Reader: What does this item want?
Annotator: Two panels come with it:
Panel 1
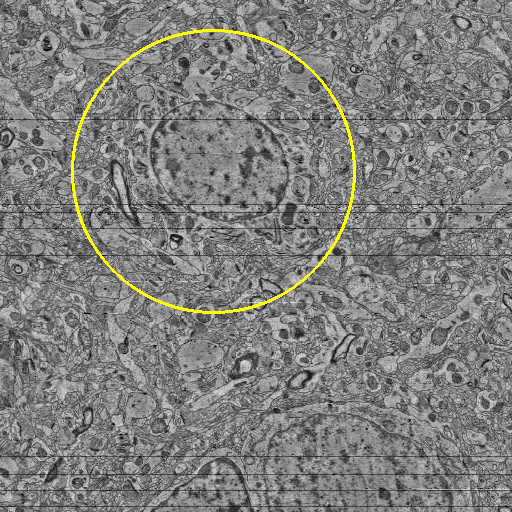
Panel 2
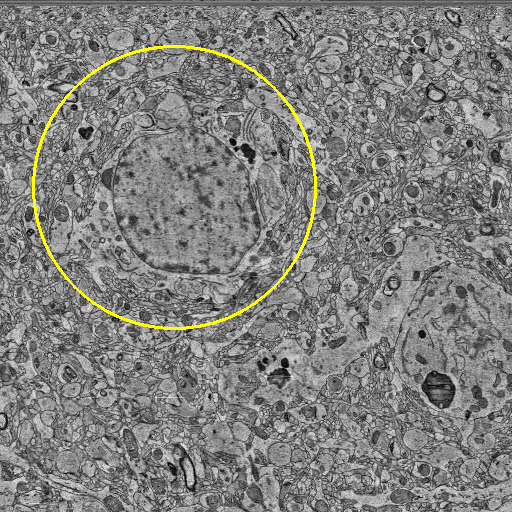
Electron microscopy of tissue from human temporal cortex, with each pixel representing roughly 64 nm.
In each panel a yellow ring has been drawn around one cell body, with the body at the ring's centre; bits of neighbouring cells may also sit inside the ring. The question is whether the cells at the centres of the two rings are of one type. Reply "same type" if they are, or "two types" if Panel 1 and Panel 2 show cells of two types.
same type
